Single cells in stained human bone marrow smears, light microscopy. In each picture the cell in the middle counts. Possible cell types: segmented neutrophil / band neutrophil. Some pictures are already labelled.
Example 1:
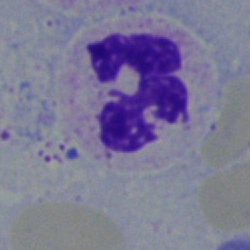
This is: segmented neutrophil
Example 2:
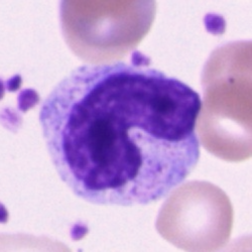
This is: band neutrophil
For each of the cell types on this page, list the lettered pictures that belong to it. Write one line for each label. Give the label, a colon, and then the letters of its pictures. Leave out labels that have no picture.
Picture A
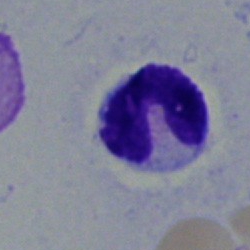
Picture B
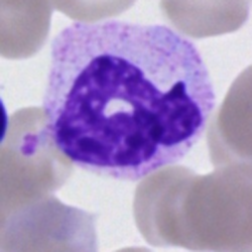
band neutrophil: A, B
